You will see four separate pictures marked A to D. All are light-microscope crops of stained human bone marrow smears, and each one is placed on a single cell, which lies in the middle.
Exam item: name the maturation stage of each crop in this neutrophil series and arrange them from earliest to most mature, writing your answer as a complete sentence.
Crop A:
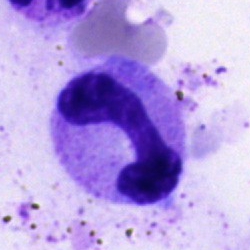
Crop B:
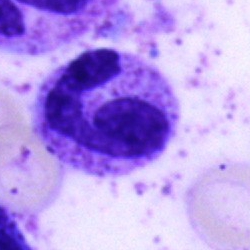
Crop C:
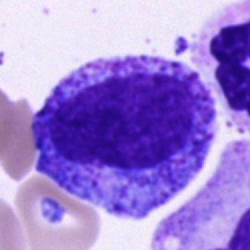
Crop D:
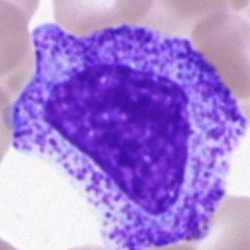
Listed from least to most mature, the crops read crop C (a promyelocyte), crop D (a myelocyte), crop A (a band neutrophil) and crop B (a segmented neutrophil).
